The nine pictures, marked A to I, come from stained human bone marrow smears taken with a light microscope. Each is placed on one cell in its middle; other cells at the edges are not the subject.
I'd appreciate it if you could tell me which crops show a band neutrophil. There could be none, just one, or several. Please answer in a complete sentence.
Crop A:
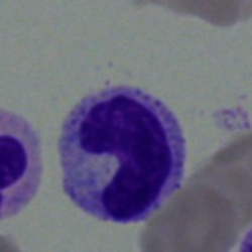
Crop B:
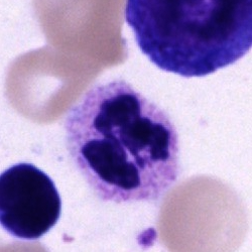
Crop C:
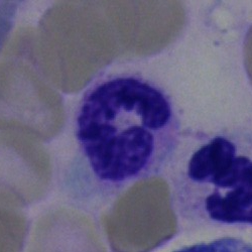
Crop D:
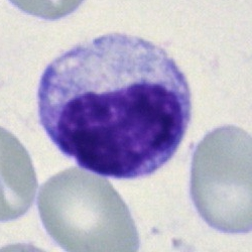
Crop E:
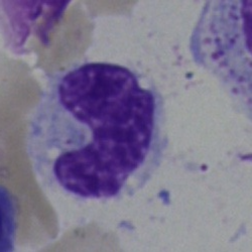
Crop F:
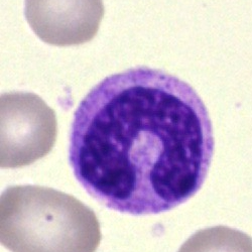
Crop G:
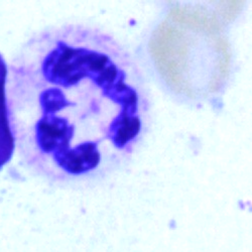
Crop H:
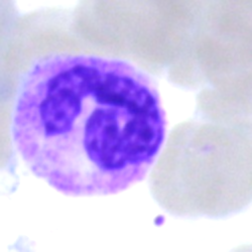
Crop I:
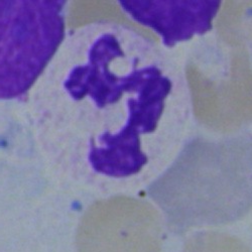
The target cells in crops A, E and F are band neutrophils.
